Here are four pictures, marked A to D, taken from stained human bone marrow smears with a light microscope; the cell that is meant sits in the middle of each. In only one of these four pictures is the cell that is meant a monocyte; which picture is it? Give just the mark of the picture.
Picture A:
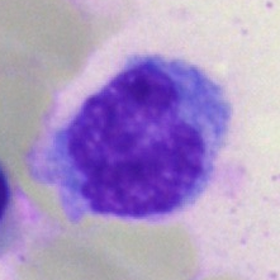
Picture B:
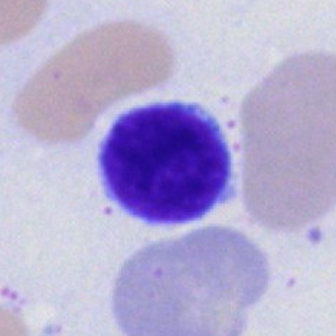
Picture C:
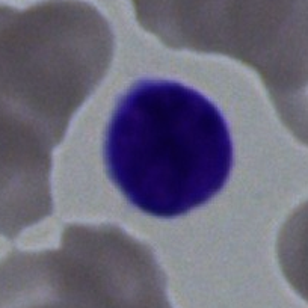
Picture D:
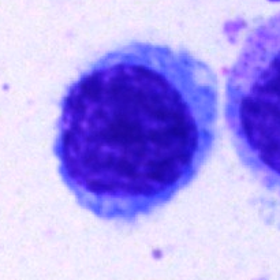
A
